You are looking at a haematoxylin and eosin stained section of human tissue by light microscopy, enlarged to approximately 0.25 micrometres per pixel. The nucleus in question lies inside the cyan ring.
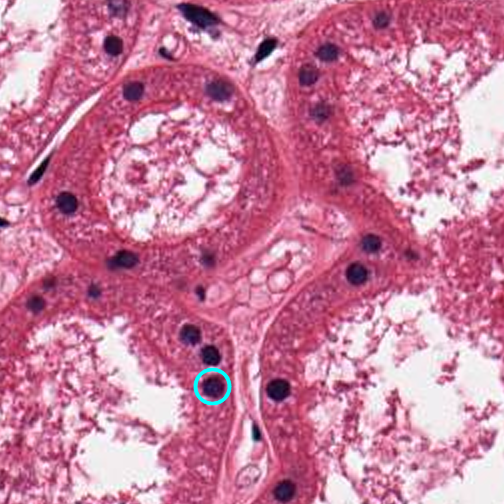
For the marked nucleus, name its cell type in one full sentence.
In the section shown, the marked nucleus belongs to a proximal tubule cell.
